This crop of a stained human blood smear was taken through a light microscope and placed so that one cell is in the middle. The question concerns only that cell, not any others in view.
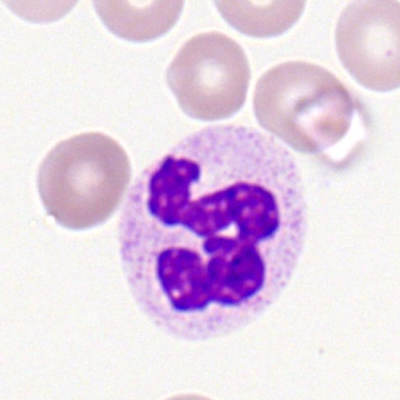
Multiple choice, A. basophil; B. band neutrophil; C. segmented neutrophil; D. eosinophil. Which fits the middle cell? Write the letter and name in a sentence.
Option C is right in identifying the central cell as a segmented neutrophil.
